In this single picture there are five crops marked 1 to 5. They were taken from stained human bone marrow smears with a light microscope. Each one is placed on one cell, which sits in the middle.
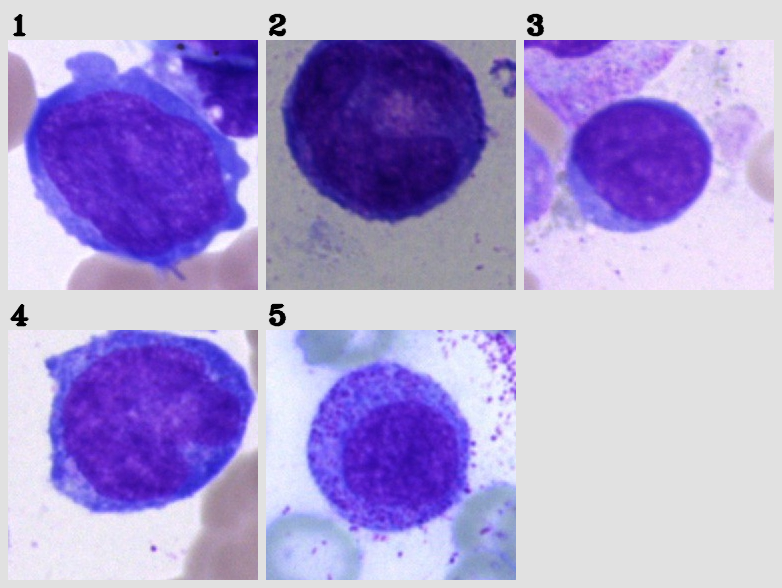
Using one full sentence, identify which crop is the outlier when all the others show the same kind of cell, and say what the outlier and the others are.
Here the outlier is crop 5, which is a promyelocyte, and the rest are blasts.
